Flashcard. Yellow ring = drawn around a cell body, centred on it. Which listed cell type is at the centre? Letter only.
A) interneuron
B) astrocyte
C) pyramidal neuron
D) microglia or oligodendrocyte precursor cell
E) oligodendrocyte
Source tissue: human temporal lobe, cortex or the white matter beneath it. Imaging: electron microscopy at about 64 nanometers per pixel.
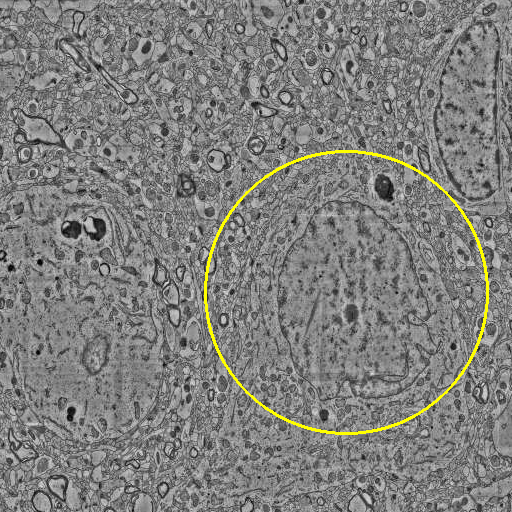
A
